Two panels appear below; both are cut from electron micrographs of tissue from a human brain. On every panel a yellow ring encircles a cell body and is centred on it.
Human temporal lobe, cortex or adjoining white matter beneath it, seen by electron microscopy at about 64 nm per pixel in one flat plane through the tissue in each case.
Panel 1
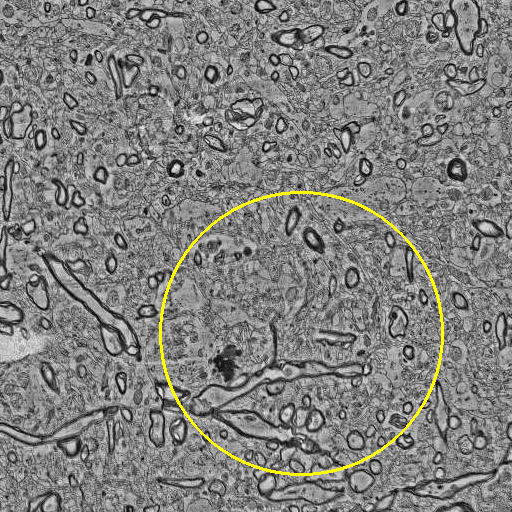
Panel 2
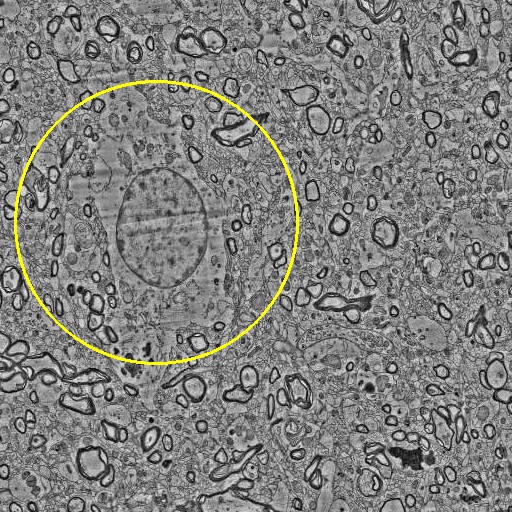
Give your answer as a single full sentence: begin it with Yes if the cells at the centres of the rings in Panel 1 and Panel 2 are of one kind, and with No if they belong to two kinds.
No, the cells in the middle of the rings in Panels 1 and 2 are of two kinds.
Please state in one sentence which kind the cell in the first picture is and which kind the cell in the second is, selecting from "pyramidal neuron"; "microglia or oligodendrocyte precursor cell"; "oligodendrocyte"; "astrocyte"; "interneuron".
The first ringed cell is an oligodendrocyte, the second ringed cell an astrocyte.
